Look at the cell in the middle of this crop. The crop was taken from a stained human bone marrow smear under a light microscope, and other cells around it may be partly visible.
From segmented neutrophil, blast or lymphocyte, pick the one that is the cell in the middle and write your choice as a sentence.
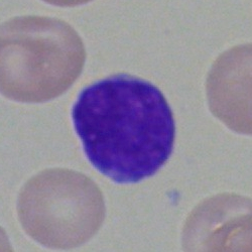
The cell in the exact centre of the crop is a lymphocyte.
